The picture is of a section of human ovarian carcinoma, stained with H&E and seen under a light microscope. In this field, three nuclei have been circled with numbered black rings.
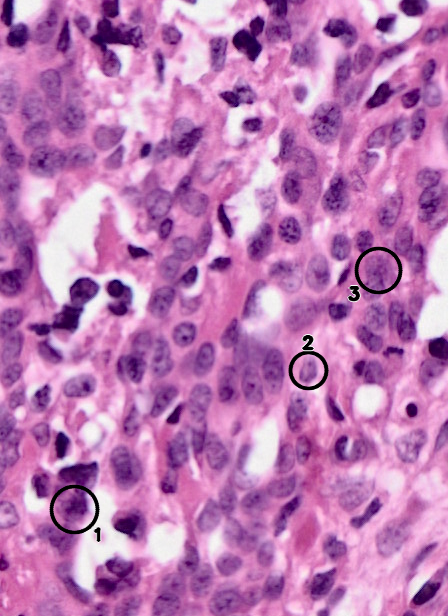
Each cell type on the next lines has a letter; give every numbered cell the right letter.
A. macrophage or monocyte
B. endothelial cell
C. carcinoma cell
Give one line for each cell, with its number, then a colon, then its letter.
1: C
2: A
3: C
